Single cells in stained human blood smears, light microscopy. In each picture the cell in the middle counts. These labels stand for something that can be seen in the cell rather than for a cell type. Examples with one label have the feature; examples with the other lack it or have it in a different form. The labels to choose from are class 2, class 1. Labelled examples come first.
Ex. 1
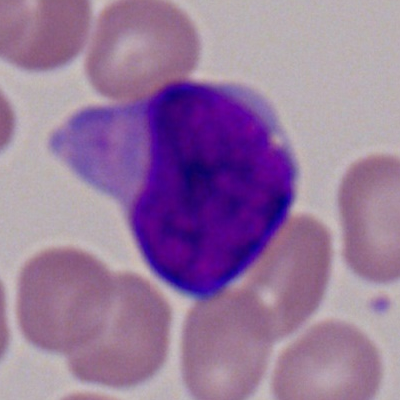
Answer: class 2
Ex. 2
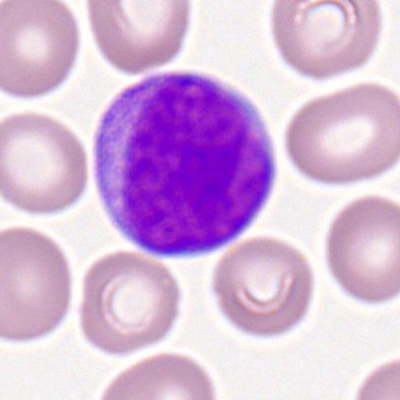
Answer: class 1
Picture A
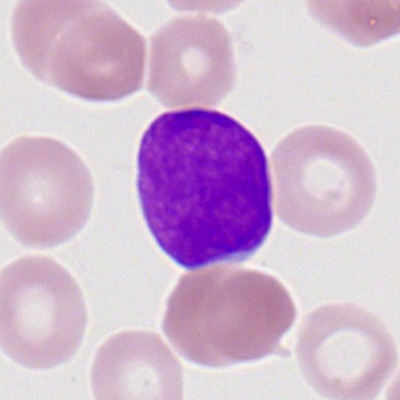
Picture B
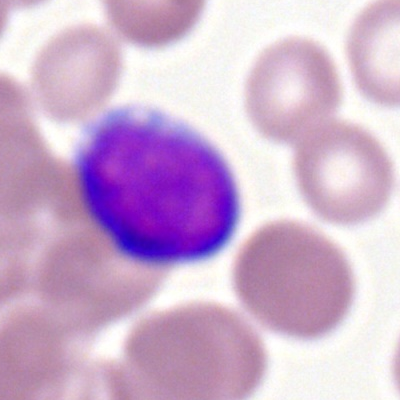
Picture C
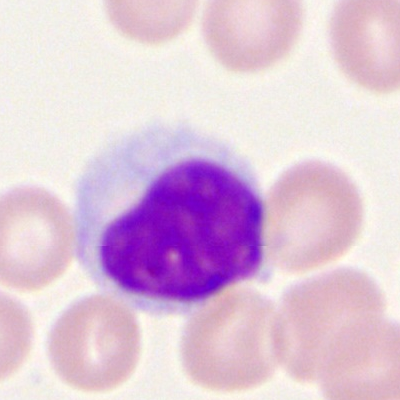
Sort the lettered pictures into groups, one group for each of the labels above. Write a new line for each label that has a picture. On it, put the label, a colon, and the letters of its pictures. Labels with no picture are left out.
class 2: C
class 1: A, B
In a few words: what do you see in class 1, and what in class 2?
class 1, smooth outline; class 2, ragged outline or projections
